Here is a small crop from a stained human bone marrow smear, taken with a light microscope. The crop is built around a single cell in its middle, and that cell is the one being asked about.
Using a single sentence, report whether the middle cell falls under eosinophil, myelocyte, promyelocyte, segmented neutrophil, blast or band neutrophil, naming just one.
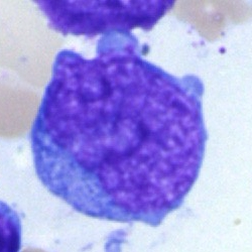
Looking at the middle of the crop, the cell there is a blast.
